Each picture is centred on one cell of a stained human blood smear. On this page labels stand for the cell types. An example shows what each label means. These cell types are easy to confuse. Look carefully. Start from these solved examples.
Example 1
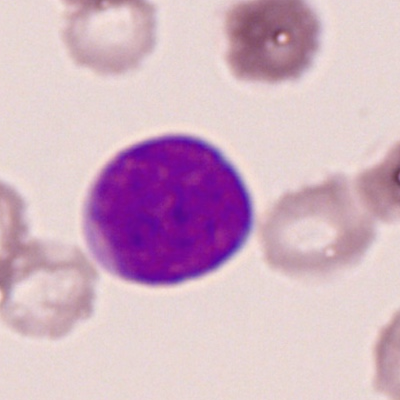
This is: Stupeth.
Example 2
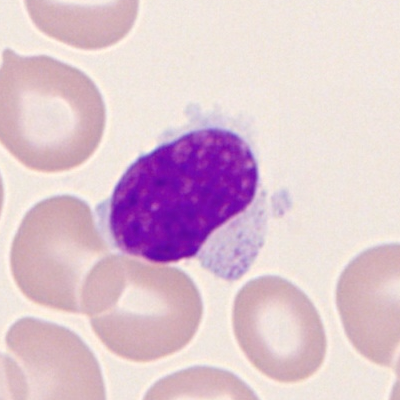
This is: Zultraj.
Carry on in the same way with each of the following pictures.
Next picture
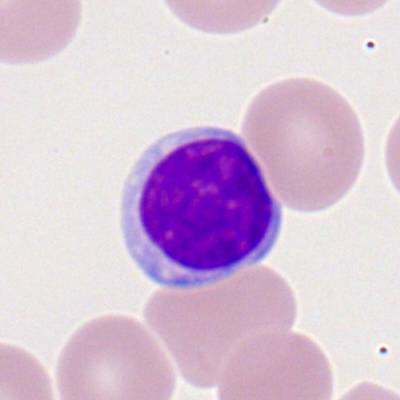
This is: Zultraj.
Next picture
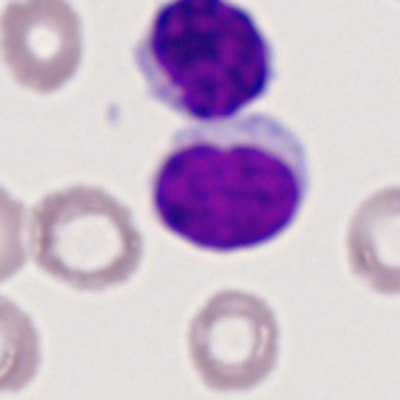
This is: Zultraj.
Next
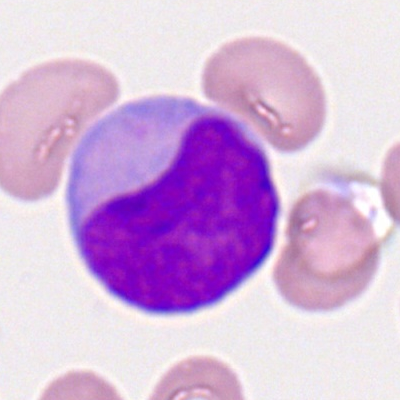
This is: Stupeth.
